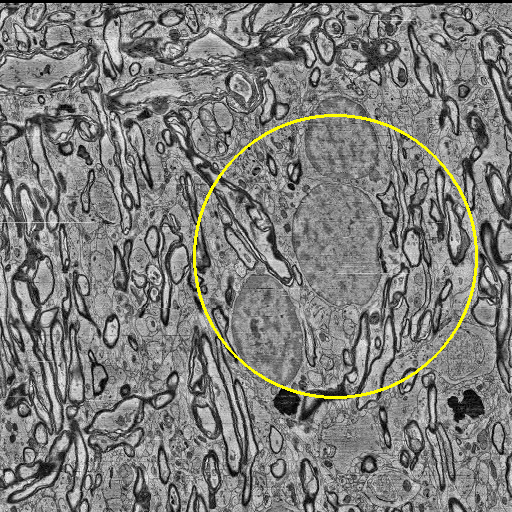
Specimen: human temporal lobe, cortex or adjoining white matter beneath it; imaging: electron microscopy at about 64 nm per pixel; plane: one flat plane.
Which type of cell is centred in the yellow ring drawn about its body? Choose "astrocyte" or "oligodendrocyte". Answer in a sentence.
The yellow ring surrounds the cell body of an oligodendrocyte.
